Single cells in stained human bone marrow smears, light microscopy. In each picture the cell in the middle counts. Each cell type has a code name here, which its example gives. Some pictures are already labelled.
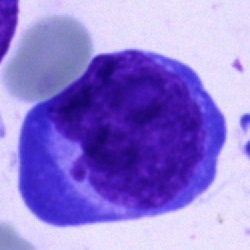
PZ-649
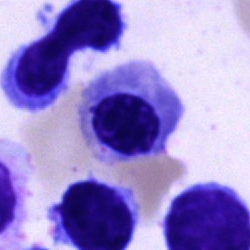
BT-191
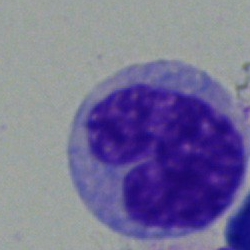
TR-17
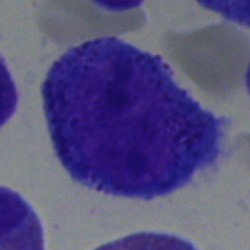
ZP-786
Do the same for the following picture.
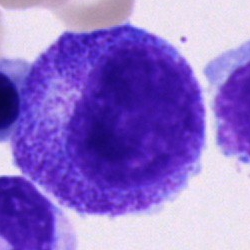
ZP-786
